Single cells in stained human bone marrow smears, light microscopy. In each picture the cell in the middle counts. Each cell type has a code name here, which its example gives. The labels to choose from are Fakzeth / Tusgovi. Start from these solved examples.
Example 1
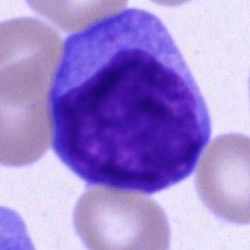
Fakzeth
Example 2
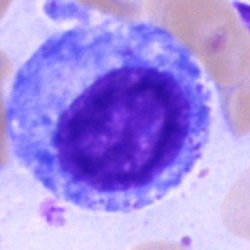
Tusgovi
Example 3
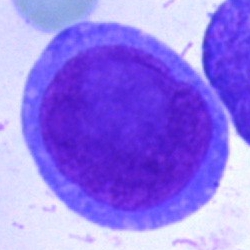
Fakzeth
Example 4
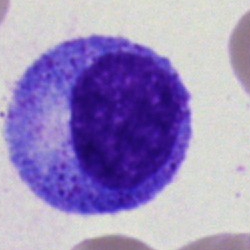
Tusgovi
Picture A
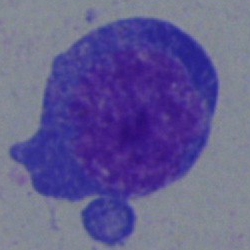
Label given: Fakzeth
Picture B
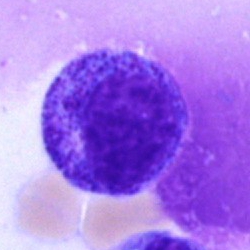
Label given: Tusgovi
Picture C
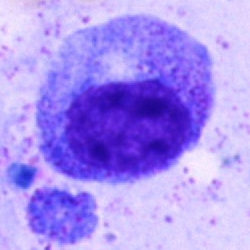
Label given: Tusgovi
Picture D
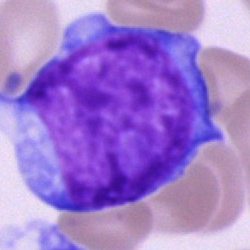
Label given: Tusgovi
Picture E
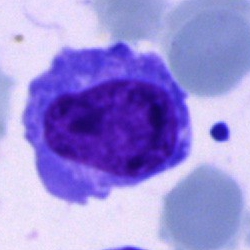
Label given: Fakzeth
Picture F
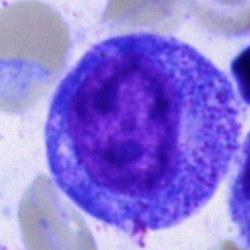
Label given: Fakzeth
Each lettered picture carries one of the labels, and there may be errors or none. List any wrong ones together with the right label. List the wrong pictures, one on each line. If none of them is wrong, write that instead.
Wrong: D (Tusgovi); correct: Fakzeth
Wrong: F (Fakzeth); correct: Tusgovi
